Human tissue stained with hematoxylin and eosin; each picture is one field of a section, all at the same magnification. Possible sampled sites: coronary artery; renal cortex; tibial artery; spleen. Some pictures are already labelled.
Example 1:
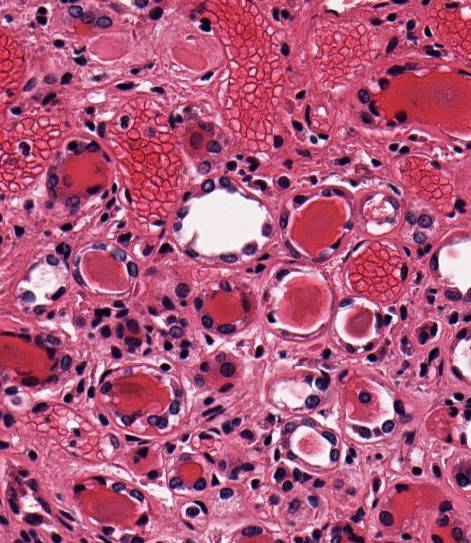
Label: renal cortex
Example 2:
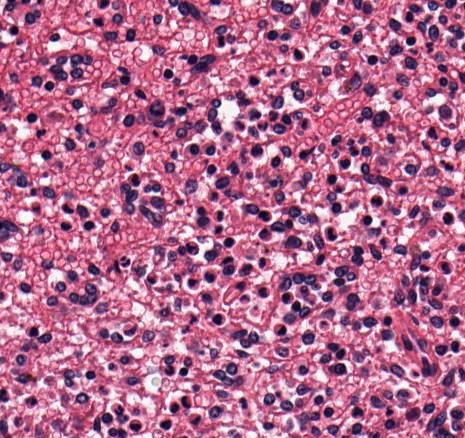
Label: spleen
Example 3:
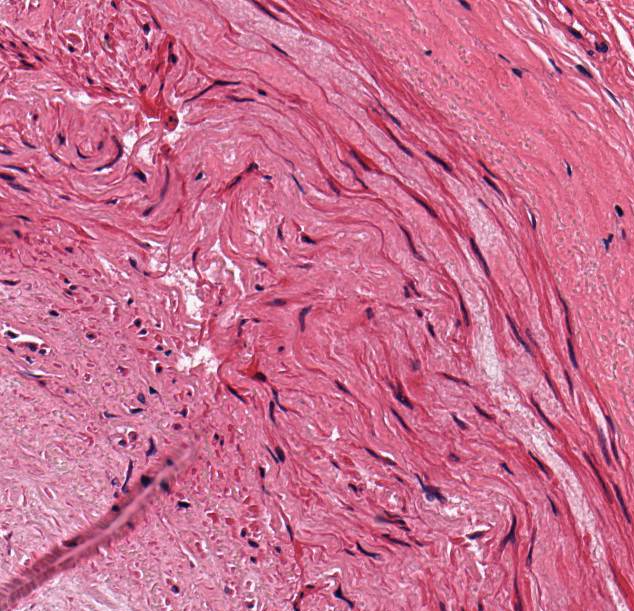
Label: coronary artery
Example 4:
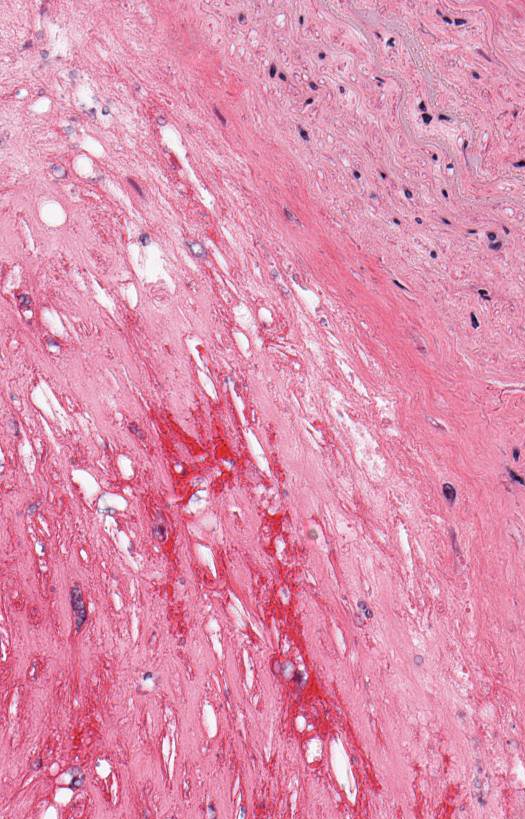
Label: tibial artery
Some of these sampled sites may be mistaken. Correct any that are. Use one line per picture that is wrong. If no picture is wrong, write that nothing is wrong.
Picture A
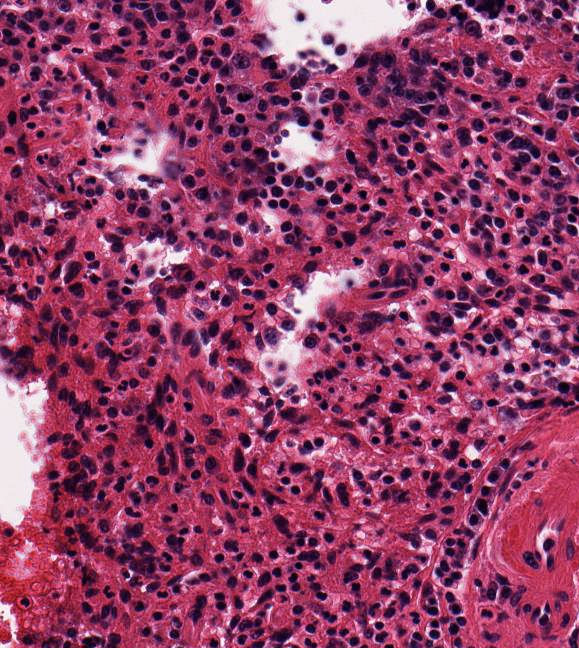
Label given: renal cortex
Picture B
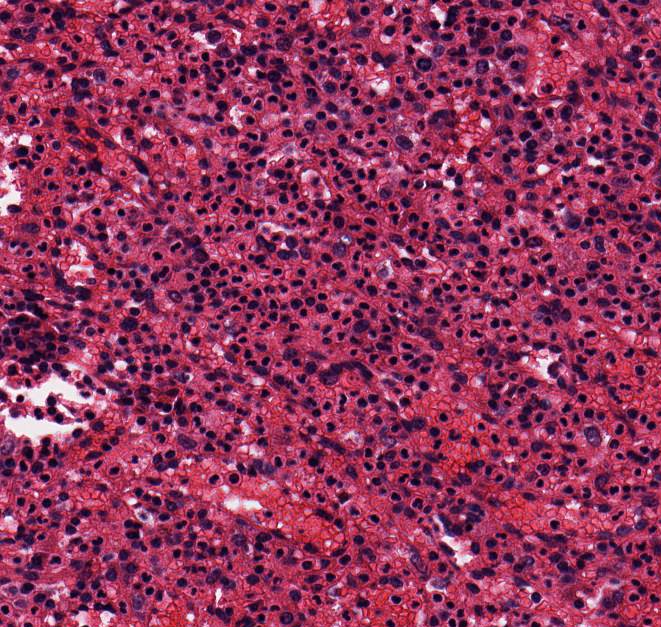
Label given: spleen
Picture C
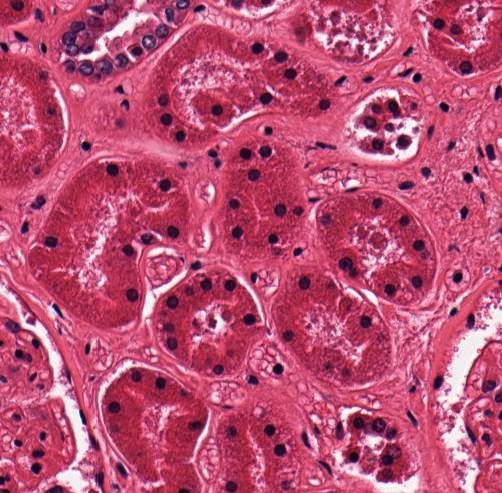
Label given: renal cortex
Wrong: A (renal cortex); correct: spleen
